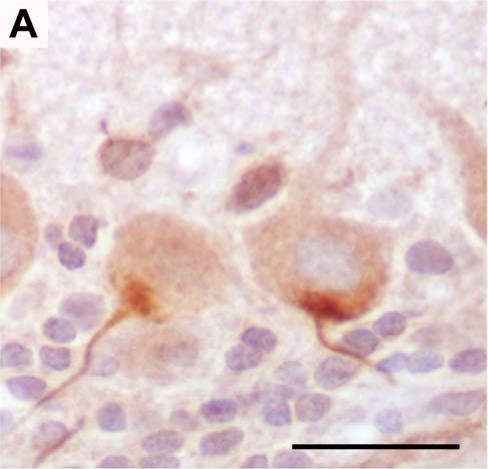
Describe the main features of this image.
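This is cerebellar cortex with Purkinje cells lying in a row above the granular layer. At the lower pole of each cell the brown colour is strongest, at the point where a single thin axon leaves the cell body, and the stain follows that axon as a tapering line downward. Beneath the large cells lies a crowded band of small, round, dark blue nuclei of granule cells. Above, the molecular layer is pale and finely textured with a few scattered smaller oval nuclei.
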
